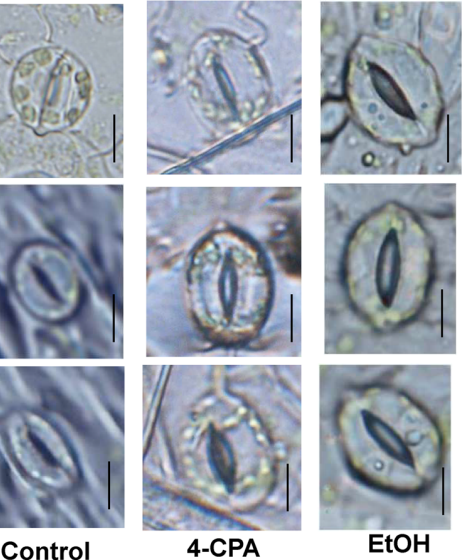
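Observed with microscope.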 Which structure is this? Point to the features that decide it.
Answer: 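Each image shows a pair of curved, bean-shaped cells that enclose a central pore. The central pore is a dark, elongated slit or lens-shaped opening. The paired cells contain small green granules. Each structure is set within a surrounding layer of flat epidermal cells. On this evidence: Stomata.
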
